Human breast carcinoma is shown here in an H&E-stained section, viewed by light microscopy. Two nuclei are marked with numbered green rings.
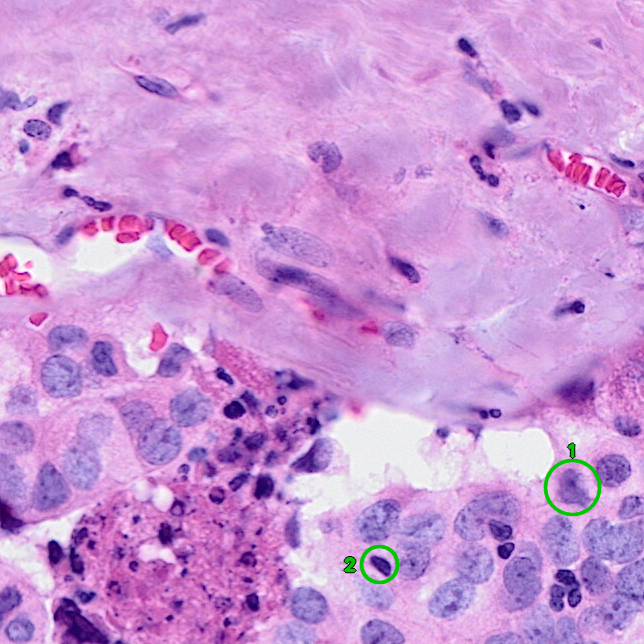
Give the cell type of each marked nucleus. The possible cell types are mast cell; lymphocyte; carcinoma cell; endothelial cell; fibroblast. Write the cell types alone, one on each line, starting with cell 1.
carcinoma cell
lymphocyte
